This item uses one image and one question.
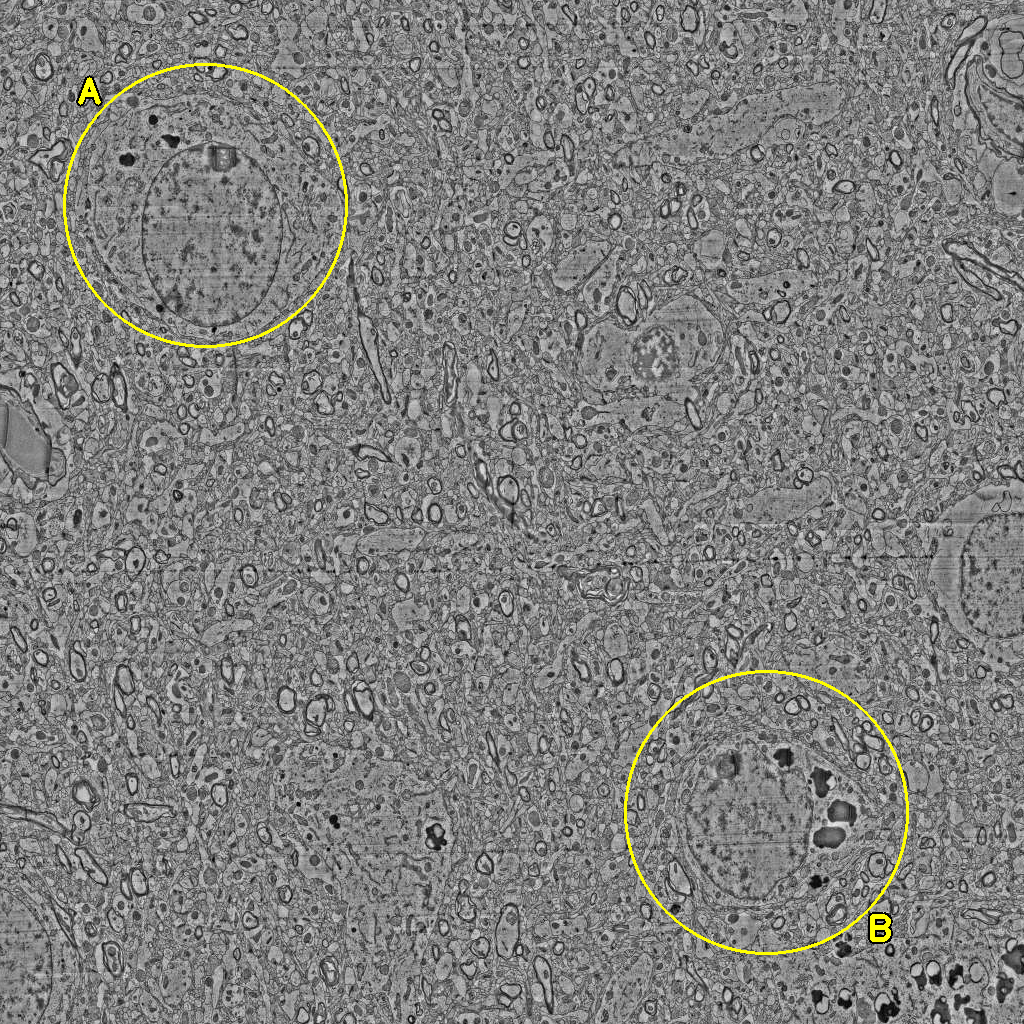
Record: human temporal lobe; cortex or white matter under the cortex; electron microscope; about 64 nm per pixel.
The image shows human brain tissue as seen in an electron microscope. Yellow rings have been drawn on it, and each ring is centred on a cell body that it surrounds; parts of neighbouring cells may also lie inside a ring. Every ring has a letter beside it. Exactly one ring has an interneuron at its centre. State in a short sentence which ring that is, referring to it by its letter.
Ring B has that cell at its centre.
